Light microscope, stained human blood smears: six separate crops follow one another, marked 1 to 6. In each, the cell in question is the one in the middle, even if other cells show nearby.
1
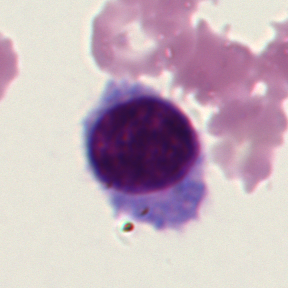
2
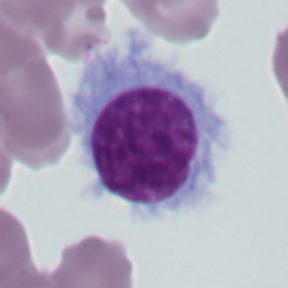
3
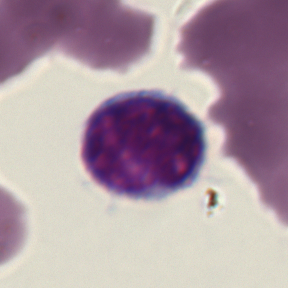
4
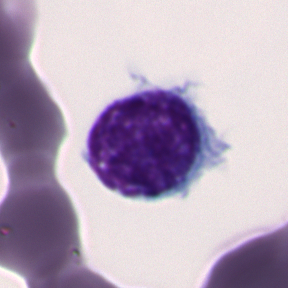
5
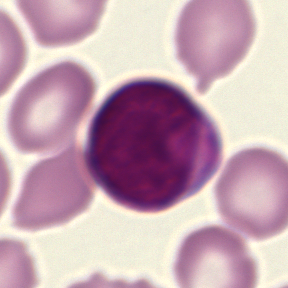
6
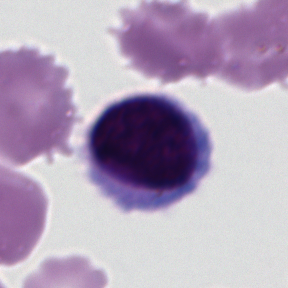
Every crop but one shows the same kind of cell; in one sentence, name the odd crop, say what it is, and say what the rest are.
The others are all hairy cells; crop 5 is a myeloblast.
